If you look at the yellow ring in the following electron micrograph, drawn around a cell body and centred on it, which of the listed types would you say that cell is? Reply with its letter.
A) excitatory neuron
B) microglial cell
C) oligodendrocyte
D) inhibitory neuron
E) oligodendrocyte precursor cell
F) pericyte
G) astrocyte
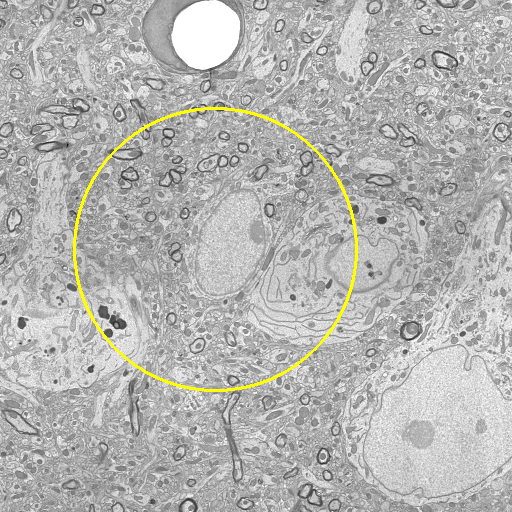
G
